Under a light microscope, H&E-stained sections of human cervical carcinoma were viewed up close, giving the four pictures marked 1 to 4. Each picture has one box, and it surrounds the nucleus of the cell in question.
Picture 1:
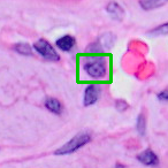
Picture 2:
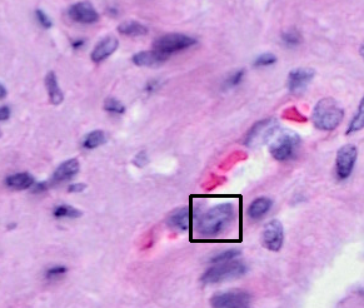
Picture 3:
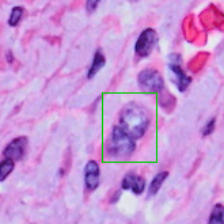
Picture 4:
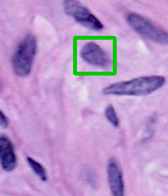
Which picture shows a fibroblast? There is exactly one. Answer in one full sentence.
Picture 4 is the one that shows the fibroblast.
